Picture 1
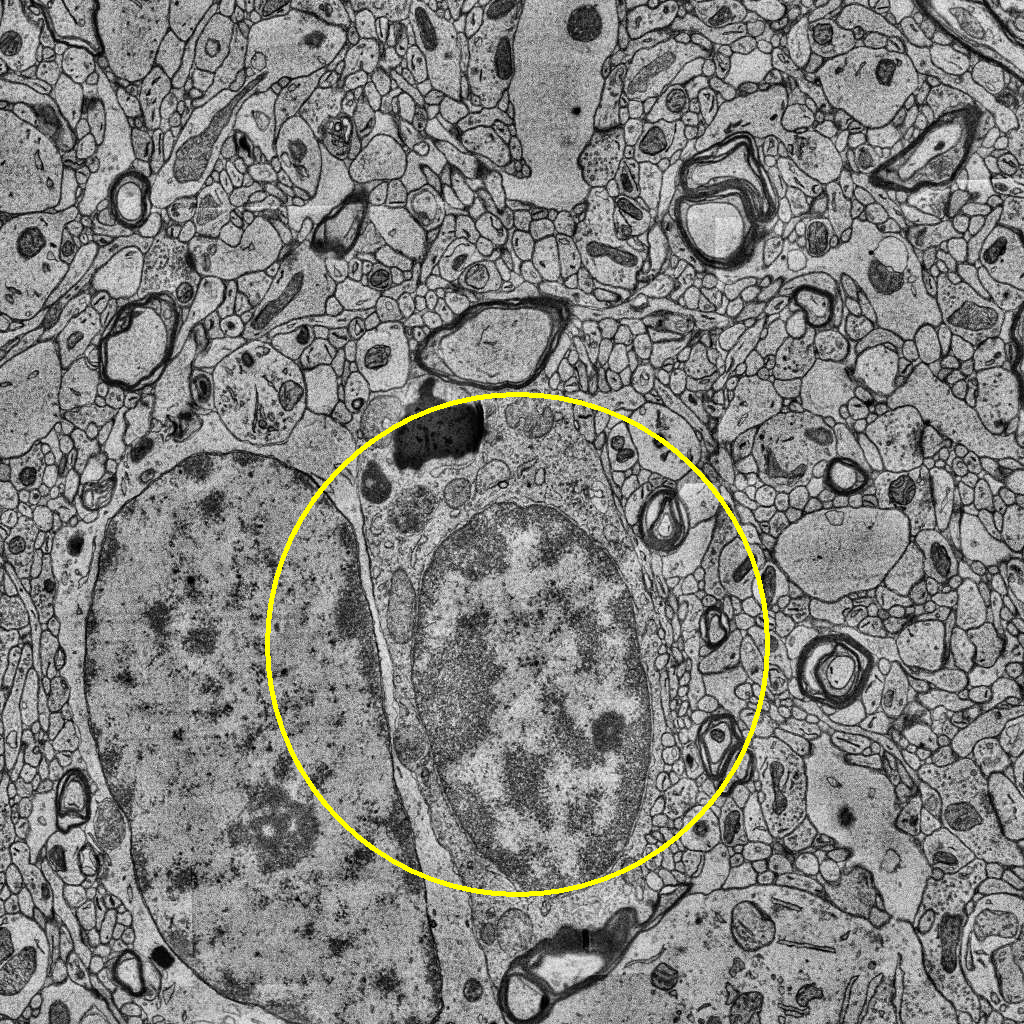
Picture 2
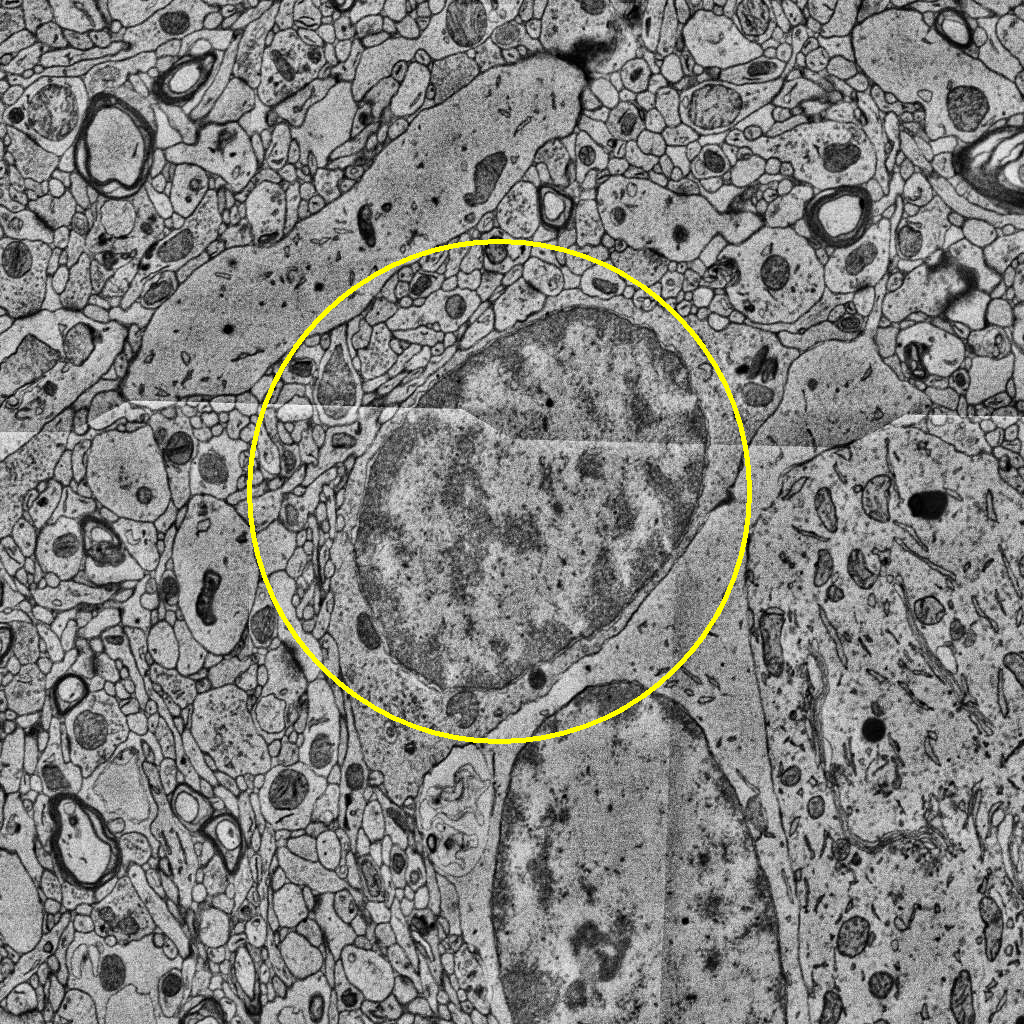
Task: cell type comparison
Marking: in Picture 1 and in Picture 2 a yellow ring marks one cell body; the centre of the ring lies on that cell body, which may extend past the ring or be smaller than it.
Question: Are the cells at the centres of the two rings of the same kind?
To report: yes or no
yes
